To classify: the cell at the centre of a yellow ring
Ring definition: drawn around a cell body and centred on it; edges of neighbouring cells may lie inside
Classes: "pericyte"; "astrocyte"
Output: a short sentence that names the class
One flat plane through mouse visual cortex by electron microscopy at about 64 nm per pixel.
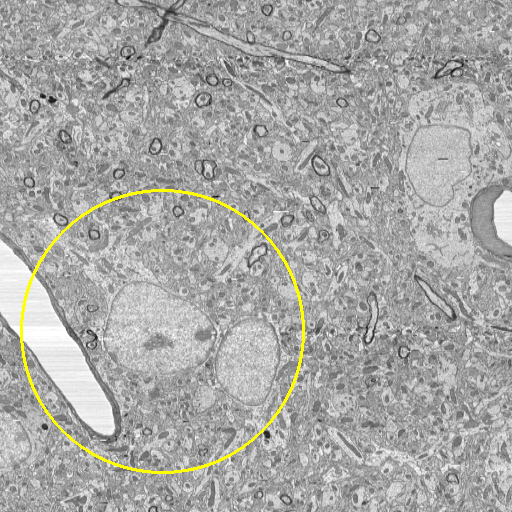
The ringed cell is an astrocyte.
